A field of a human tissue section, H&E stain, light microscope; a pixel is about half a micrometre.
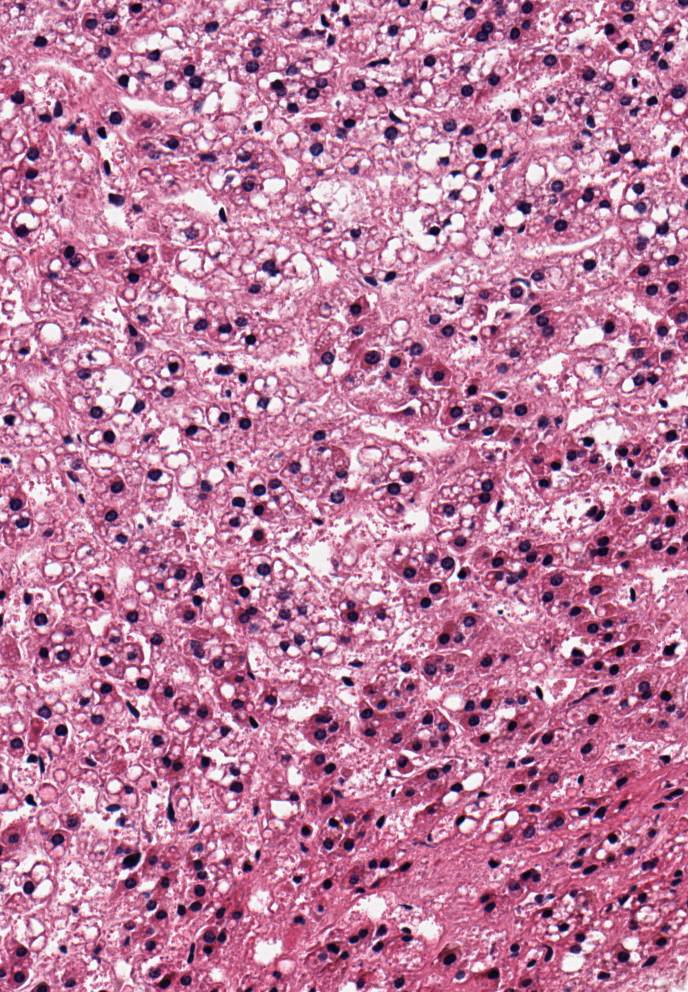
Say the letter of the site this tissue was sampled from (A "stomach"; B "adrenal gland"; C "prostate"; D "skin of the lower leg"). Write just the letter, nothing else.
B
